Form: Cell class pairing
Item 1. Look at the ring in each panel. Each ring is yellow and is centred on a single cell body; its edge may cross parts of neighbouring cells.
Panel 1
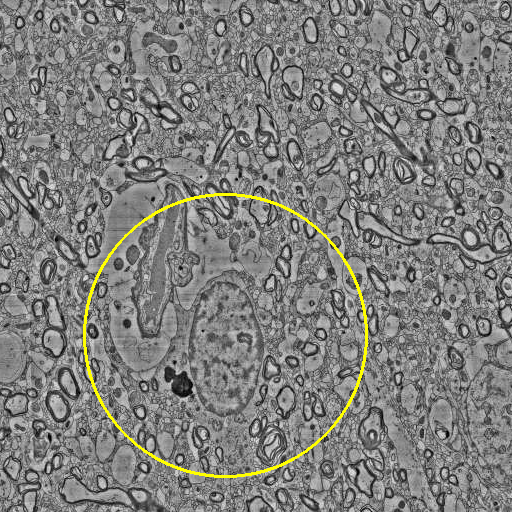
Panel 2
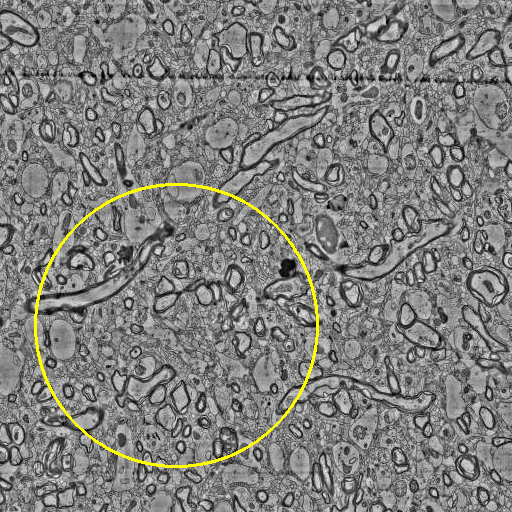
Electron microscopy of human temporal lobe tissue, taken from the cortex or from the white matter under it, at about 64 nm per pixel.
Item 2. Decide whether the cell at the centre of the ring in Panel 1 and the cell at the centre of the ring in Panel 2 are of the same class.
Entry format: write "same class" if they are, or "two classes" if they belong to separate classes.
same class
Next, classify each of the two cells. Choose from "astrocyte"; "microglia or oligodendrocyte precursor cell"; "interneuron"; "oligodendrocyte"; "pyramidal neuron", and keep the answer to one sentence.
Each of the two rings surrounds an oligodendrocyte.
